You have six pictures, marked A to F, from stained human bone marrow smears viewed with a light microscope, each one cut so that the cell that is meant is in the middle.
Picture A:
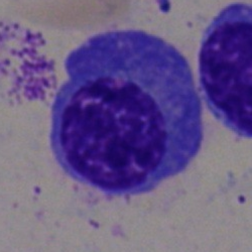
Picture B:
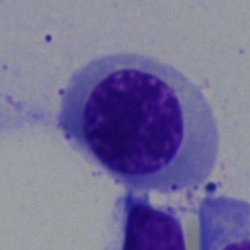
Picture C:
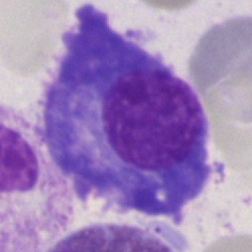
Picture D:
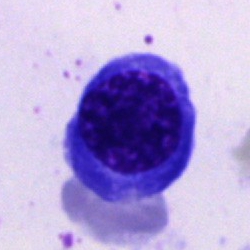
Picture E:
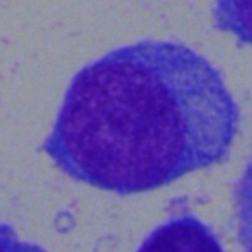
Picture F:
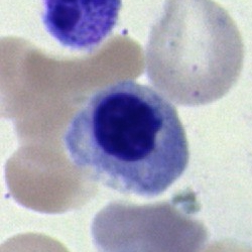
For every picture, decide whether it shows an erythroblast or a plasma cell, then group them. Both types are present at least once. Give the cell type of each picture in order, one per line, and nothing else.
plasma cell
erythroblast
plasma cell
erythroblast
plasma cell
erythroblast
